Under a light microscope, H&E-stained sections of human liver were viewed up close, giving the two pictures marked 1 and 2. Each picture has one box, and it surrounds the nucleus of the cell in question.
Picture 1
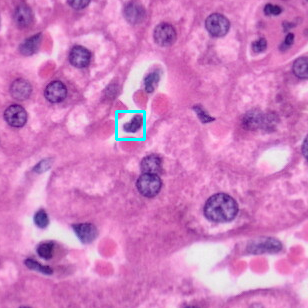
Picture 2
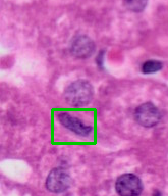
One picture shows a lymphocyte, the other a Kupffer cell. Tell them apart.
1: lymphocyte
2: Kupffer cell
